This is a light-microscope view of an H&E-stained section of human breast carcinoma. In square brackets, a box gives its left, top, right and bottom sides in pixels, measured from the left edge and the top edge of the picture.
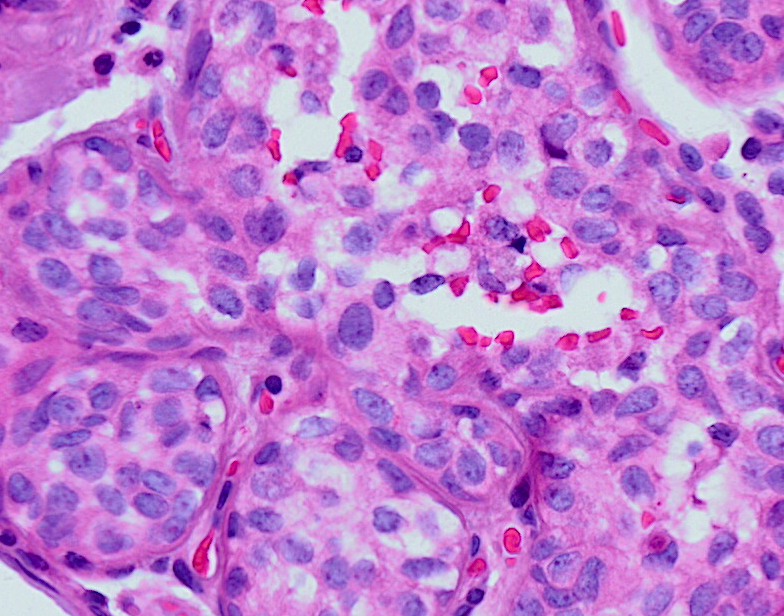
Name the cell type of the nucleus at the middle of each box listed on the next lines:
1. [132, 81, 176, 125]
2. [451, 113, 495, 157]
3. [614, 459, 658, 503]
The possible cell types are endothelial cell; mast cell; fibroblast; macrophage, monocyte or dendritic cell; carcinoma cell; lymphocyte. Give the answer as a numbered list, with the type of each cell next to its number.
1. endothelial cell
2. carcinoma cell
3. carcinoma cell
